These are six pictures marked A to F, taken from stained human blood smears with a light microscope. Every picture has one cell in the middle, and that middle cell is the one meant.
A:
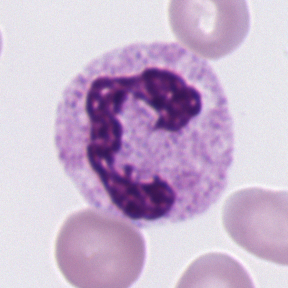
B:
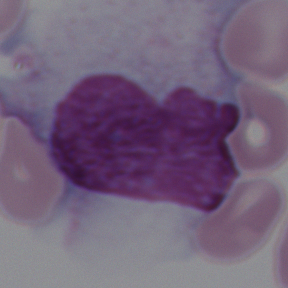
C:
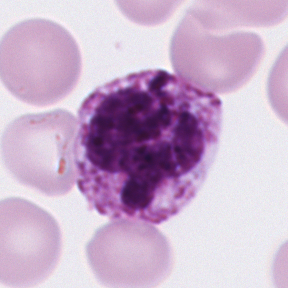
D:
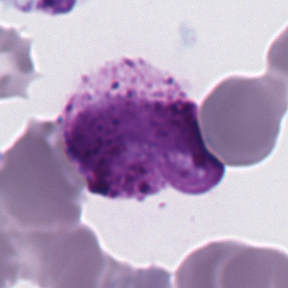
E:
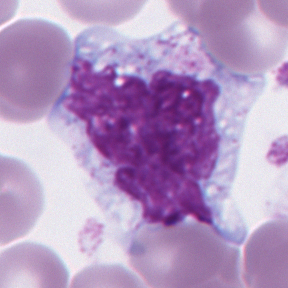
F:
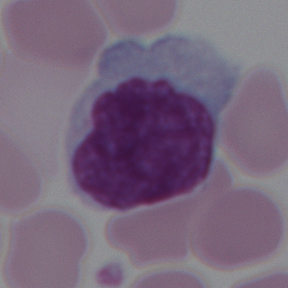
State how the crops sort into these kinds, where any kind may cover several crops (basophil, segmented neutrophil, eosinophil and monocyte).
A: segmented neutrophil
B: monocyte
C: basophil
D: basophil
E: monocyte
F: monocyte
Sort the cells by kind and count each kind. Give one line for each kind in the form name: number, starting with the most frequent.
monocyte: 3
basophil: 2
segmented neutrophil: 1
